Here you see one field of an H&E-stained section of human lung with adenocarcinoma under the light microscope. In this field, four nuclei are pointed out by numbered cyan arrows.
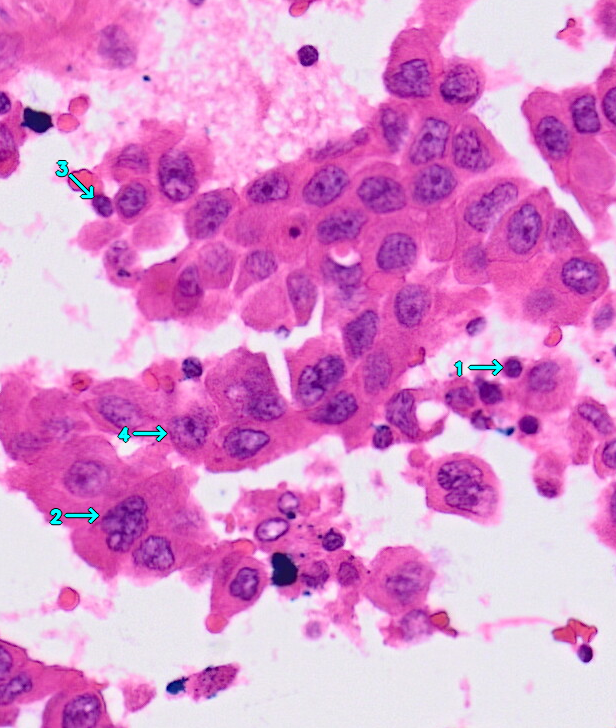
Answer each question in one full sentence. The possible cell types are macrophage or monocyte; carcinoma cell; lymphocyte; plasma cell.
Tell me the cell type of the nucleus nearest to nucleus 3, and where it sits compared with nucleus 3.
The nearest nucleus is that of a carcinoma cell and lies to the right of nucleus 3.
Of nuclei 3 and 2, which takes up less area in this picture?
Nucleus 3 covers less area, with nucleus 2 about 2 times as large.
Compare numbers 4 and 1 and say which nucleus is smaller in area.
The smaller nucleus is 1, and 4 covers roughly 3 times its area.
